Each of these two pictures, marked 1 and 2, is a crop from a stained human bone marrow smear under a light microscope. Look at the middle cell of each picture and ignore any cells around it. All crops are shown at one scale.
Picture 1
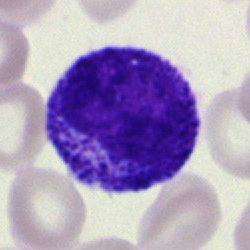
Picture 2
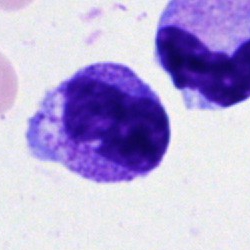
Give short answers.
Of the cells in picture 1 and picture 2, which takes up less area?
2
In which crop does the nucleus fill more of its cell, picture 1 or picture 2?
1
